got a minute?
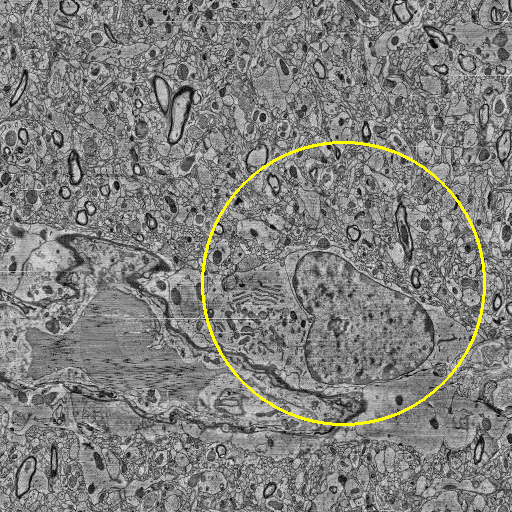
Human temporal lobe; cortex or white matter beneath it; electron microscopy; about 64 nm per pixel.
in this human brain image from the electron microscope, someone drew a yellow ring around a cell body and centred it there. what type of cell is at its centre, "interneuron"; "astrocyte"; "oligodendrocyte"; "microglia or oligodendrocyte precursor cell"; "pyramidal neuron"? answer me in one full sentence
It's a microglial cell or oligodendrocyte precursor cell at the middle of that yellow ring in the shot.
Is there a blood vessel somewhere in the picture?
Yes, the image shows a blood vessel.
